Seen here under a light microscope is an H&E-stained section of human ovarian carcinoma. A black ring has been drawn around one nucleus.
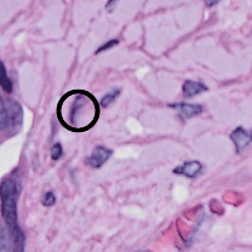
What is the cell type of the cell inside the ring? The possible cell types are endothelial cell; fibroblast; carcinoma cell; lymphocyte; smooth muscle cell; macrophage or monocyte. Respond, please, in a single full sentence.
Just put down that the cell inside the ring is a fibroblast.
